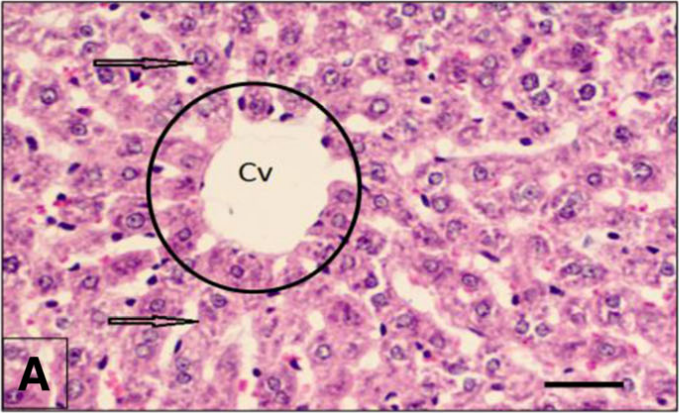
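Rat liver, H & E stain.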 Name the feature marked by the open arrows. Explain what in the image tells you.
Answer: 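Hepatic strands. The arrows point at rows of polygonal pink cells with round central nuclei. The rows of cells are separated by narrow pale spaces running toward the vessel.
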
